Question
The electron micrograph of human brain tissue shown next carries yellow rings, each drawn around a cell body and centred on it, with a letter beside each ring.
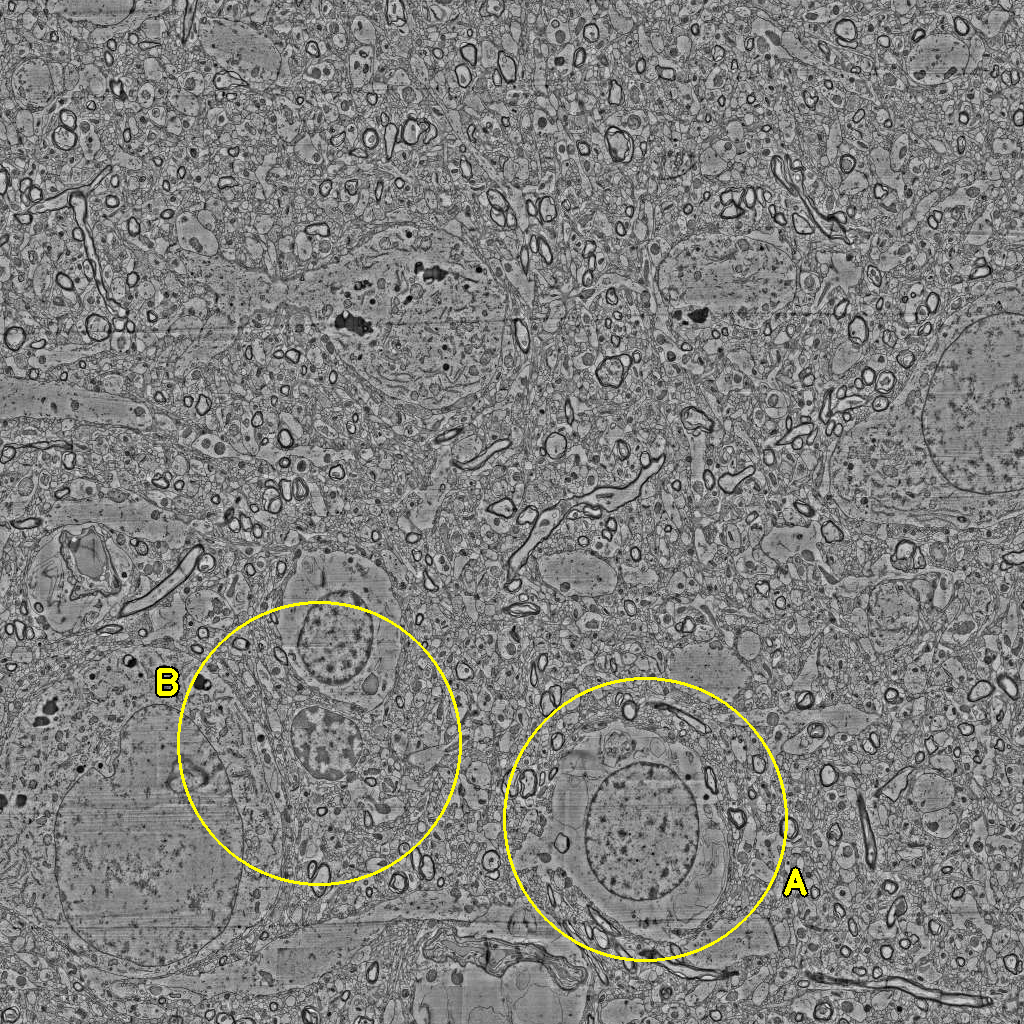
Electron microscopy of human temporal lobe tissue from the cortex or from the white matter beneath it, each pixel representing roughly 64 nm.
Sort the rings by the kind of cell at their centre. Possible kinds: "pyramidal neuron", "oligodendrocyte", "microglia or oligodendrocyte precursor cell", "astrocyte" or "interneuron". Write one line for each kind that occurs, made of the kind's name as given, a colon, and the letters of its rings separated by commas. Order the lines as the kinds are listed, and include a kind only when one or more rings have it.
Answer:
microglia or oligodendrocyte precursor cell: B
astrocyte: A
